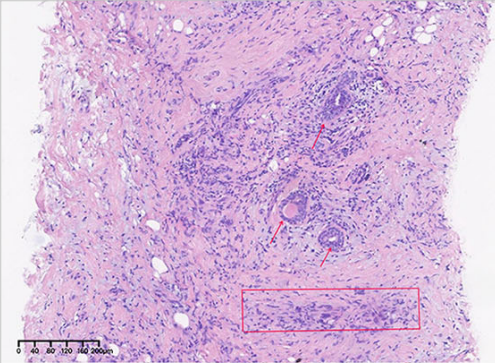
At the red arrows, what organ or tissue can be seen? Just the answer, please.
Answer: breast duct epithelium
